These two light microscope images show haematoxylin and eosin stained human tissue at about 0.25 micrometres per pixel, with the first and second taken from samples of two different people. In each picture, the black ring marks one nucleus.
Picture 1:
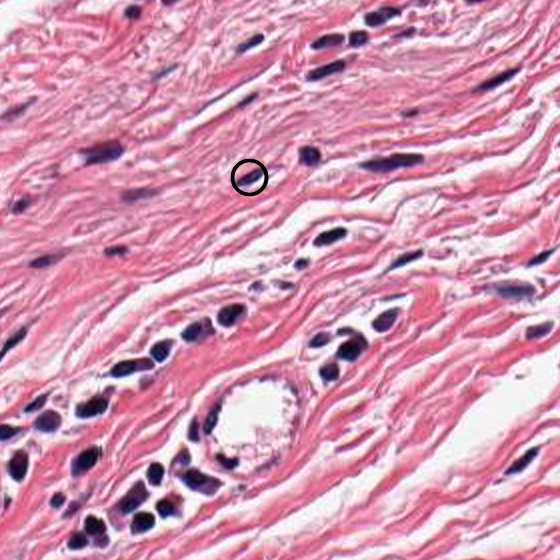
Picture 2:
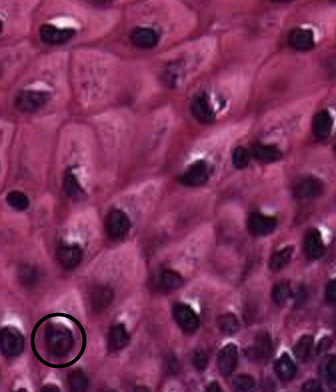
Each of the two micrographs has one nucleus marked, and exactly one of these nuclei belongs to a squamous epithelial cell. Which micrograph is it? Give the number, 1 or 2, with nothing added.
2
